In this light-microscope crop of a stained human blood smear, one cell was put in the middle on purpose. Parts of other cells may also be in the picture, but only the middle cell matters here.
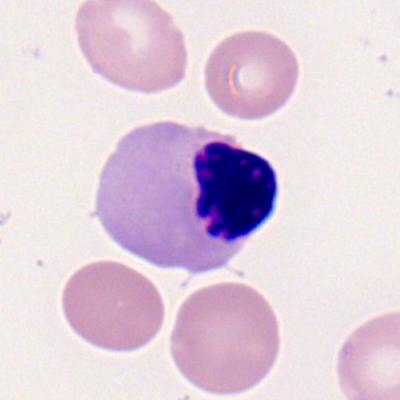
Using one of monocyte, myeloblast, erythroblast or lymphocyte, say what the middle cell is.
erythroblast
